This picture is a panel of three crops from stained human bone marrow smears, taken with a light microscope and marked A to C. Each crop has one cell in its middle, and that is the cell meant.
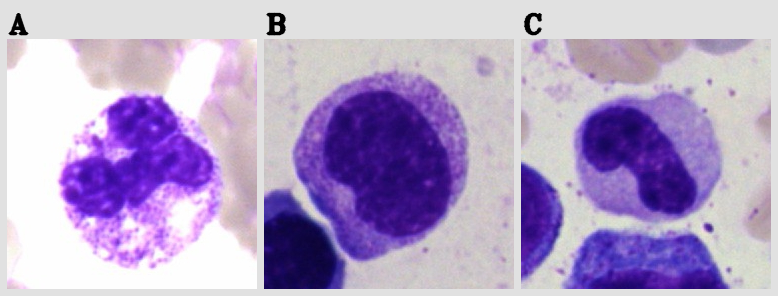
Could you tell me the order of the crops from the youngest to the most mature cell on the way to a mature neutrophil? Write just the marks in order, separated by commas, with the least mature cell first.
B, C, A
